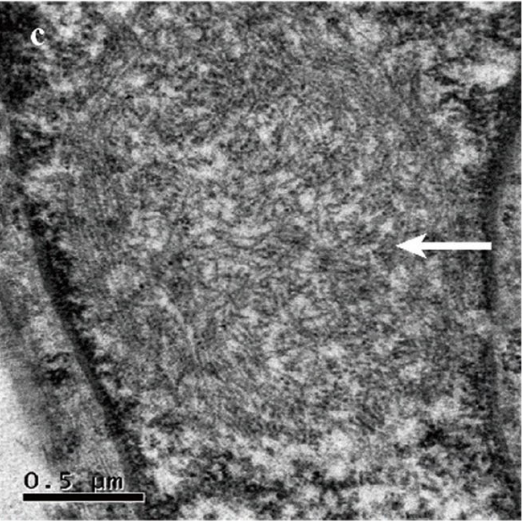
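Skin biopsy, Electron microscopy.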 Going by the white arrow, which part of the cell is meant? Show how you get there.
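The arrow points to a large region of tangled fine filaments within the nucleus. A dark rim of chromatin lines the nuclear envelope at the edge. The filamentous region has no surrounding membrane.
Conclusion: intranuclear inclusions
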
